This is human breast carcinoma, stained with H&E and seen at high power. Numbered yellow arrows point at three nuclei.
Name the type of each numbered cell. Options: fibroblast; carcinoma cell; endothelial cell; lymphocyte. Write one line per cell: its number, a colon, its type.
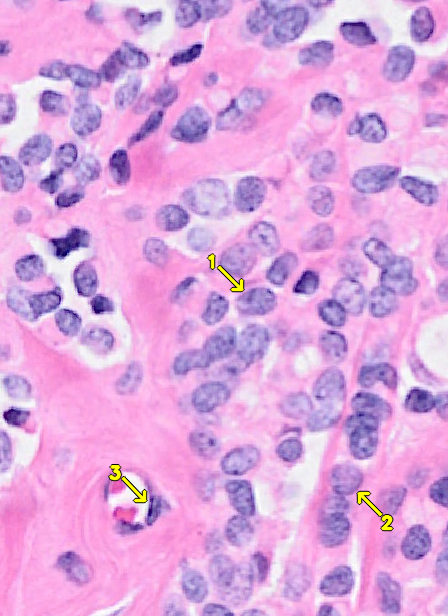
1: carcinoma cell
2: carcinoma cell
3: endothelial cell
